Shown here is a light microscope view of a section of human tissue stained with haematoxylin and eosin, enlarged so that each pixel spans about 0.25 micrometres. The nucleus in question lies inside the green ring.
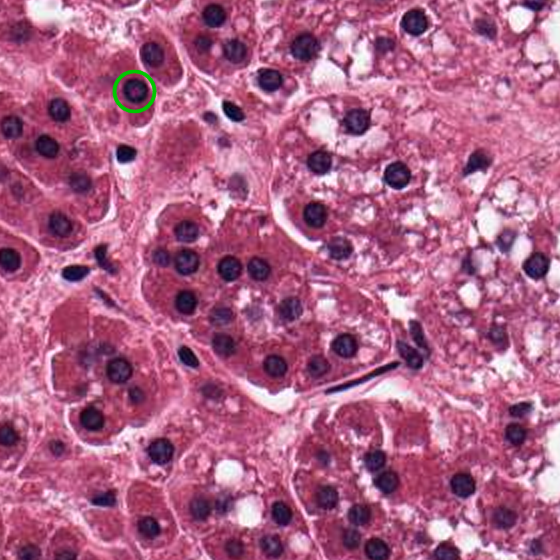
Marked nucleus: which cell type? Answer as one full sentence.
The marked nucleus is found in an adrenal cortical cell.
